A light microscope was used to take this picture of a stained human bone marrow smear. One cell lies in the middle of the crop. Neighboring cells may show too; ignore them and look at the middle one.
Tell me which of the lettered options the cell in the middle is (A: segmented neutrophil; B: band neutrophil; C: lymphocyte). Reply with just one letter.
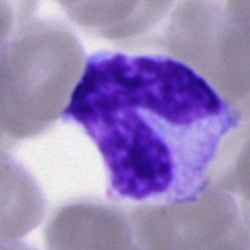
B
